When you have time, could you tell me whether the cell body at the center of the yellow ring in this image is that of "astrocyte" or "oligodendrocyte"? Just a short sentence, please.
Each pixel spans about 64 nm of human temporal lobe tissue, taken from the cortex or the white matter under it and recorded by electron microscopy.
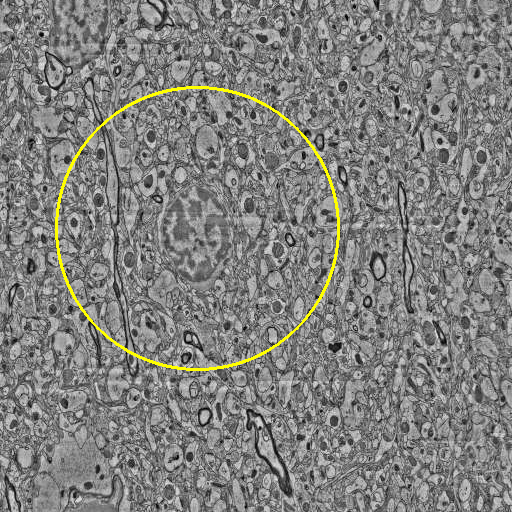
The cell body at the center of the ring is that of an oligodendrocyte.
